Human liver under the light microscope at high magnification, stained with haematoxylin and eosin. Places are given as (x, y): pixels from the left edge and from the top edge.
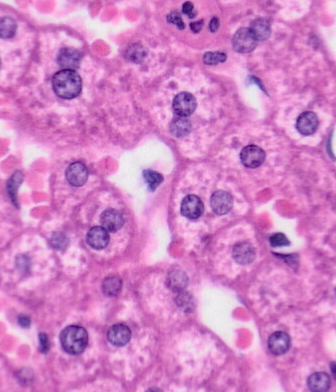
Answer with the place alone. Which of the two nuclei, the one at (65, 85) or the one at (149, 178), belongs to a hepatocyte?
(65, 85)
